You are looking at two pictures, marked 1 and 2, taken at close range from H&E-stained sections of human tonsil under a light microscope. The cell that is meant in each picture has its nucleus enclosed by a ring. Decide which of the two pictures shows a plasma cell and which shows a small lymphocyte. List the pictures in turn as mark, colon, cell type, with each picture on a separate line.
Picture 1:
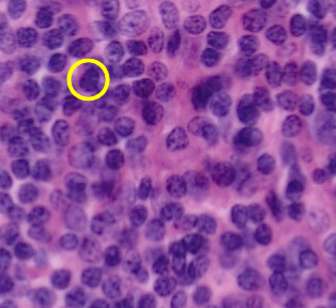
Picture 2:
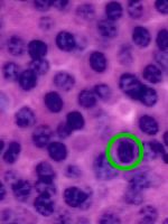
1: small lymphocyte
2: plasma cell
